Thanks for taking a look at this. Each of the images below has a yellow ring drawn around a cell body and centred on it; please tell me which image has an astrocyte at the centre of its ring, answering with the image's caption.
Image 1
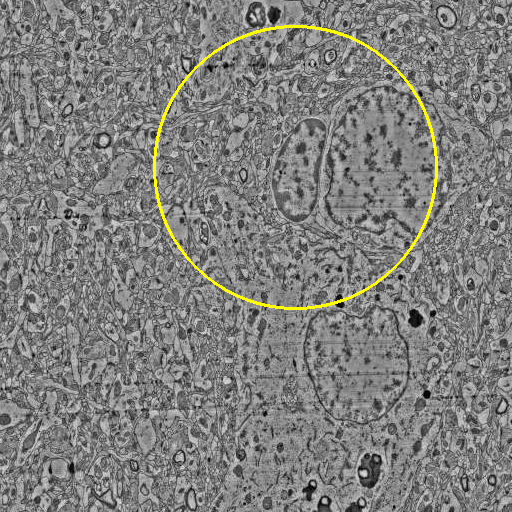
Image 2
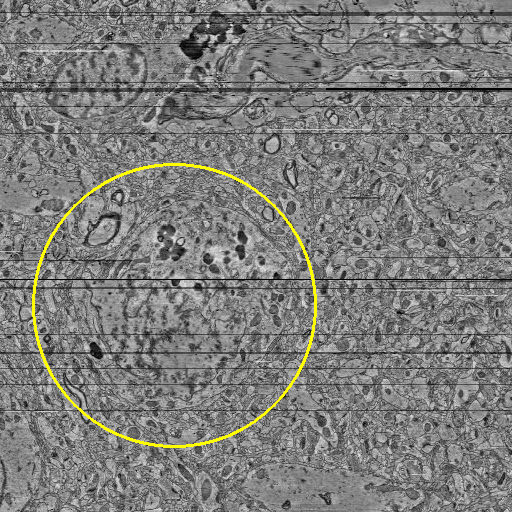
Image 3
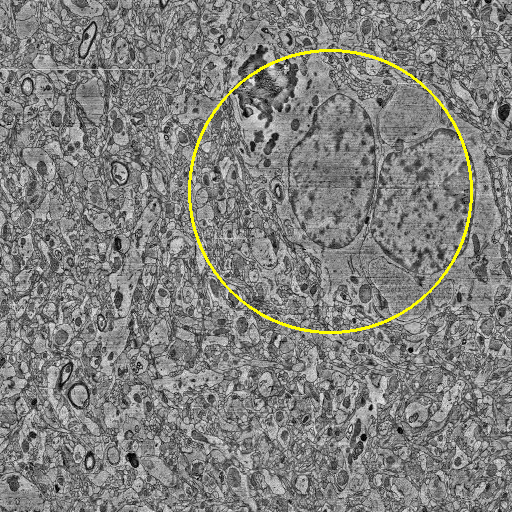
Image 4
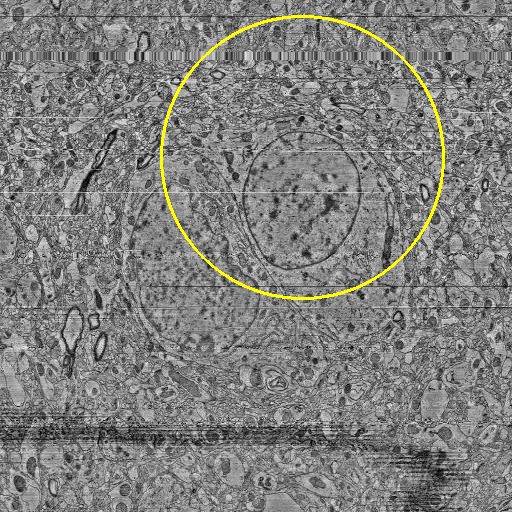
Image 3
